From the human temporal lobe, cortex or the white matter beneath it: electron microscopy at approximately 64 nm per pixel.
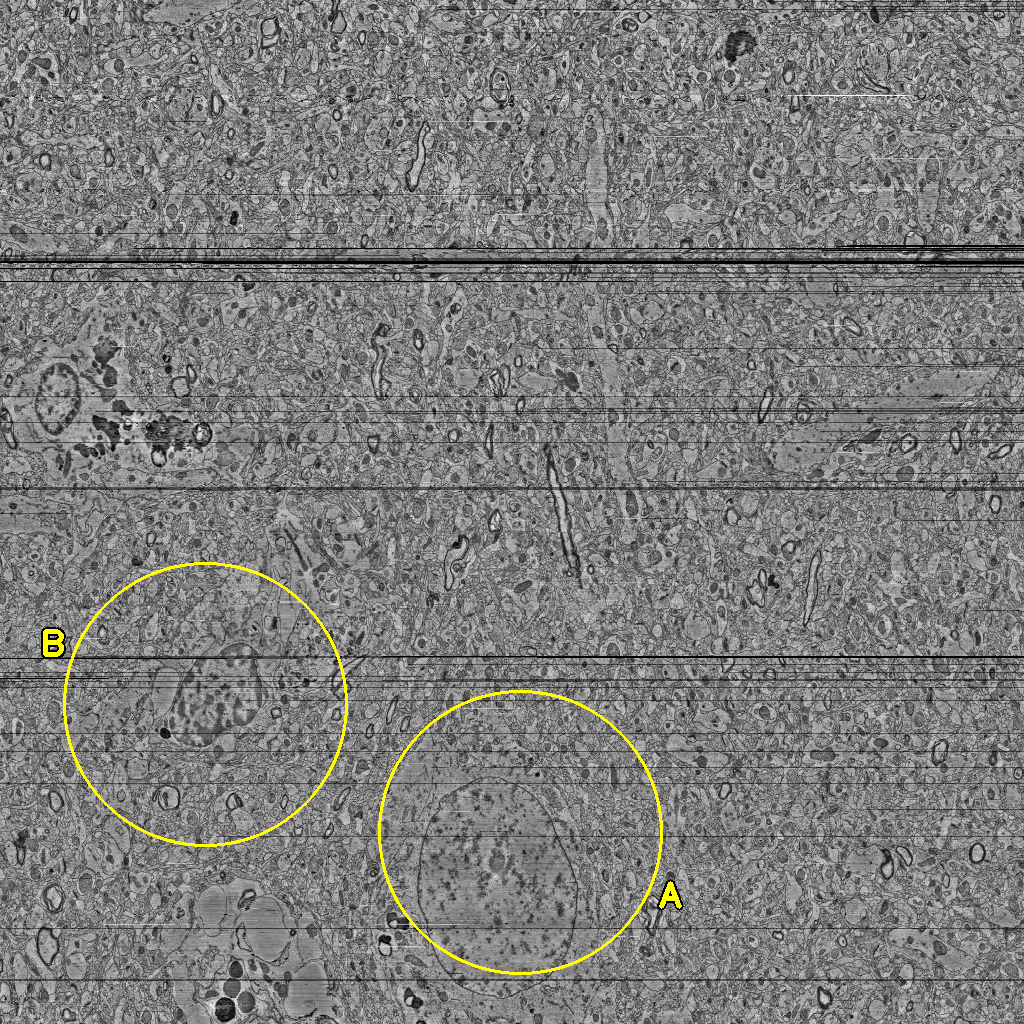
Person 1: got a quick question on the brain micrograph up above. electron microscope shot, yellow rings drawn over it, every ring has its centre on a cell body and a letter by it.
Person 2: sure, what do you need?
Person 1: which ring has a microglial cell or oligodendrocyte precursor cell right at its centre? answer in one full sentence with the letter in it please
In that picture, ring B is centred on the cell asked for.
